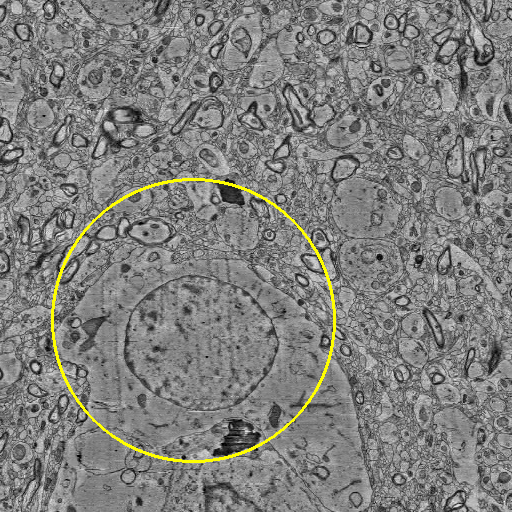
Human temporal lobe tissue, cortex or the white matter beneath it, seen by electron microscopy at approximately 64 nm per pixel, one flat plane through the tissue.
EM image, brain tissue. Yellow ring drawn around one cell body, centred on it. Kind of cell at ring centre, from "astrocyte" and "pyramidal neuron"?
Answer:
astrocyte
